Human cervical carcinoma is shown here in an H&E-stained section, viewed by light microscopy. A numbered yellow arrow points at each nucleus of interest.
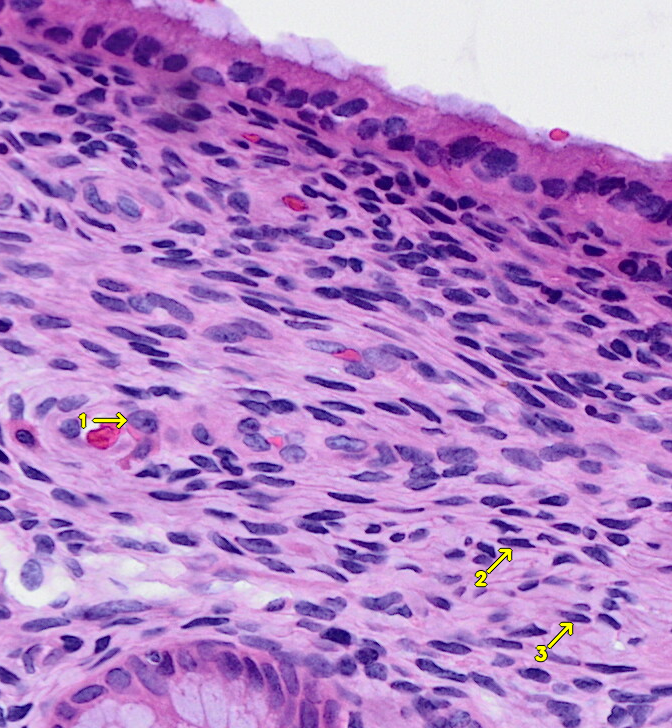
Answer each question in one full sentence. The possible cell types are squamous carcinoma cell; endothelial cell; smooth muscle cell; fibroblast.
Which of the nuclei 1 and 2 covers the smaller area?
It is nucleus 2; nucleus 1 has about 2 times its area.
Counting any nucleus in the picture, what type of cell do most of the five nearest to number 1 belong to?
Fibroblasts make up most of the five nuclei closest to number 1.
